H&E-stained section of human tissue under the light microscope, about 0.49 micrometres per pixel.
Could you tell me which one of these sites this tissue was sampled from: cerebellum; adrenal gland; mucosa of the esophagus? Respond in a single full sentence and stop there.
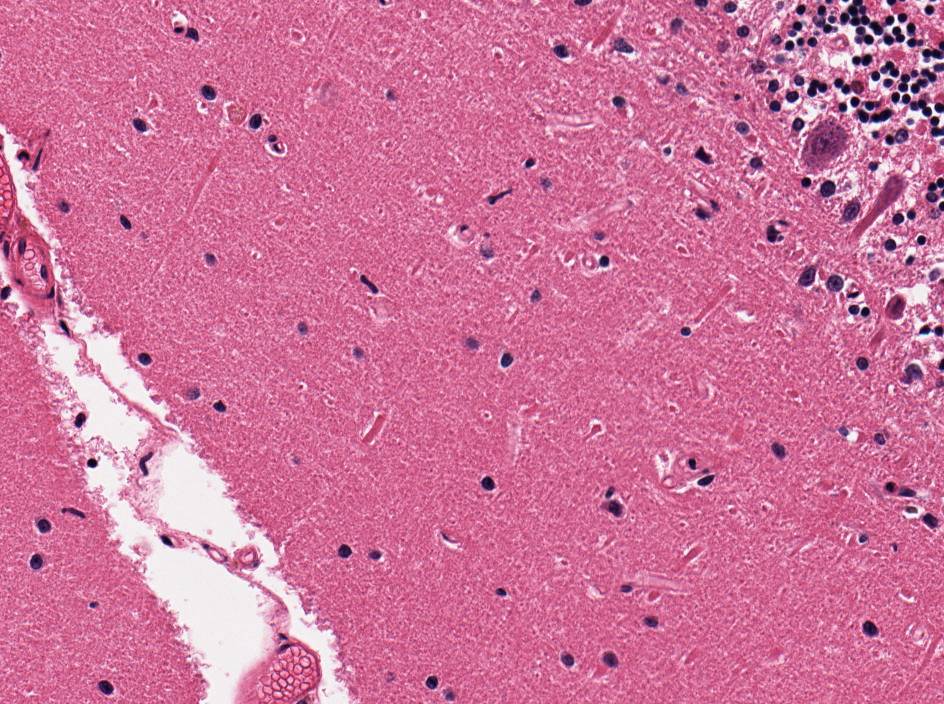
It is from the cerebellum that this section was cut.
